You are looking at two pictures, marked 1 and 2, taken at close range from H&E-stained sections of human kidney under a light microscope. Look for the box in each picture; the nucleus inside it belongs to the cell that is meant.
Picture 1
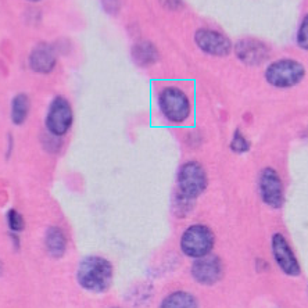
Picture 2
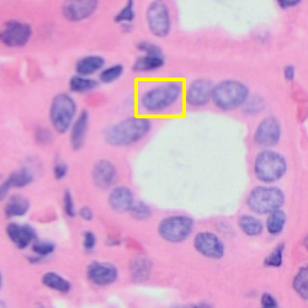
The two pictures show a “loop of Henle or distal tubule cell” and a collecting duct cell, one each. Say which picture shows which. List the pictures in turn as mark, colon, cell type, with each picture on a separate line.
1: loop of Henle or distal tubule cell
2: collecting duct cell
